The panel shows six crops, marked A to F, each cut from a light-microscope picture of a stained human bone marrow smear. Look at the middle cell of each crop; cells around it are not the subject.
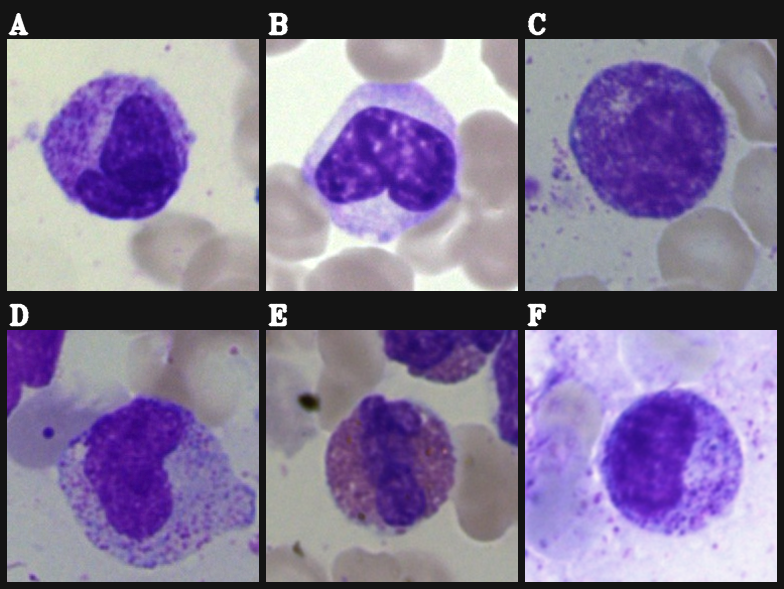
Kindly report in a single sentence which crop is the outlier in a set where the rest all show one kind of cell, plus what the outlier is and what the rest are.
Excluding crop E, which is an eosinophil, the crops all show metamyelocytes.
